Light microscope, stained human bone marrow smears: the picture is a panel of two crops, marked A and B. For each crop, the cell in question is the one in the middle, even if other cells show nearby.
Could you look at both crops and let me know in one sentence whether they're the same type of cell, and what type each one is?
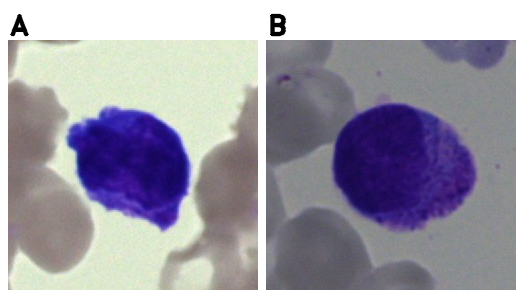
Yes, the cells centred in the two crops are both blasts.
